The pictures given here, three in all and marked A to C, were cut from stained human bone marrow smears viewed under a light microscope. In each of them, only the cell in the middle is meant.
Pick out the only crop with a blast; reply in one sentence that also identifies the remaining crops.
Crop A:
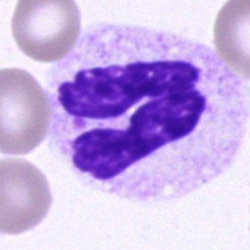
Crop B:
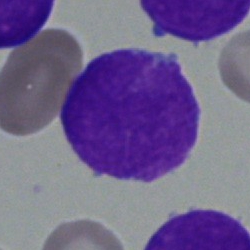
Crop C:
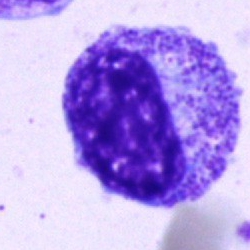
Crop B counts as a blast, while crop A is a segmented neutrophil and crop C is a promyelocyte.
